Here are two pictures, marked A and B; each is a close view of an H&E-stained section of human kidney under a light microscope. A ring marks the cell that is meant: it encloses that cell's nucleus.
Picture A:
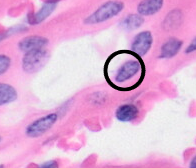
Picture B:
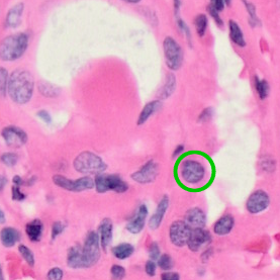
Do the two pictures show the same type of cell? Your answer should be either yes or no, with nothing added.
no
